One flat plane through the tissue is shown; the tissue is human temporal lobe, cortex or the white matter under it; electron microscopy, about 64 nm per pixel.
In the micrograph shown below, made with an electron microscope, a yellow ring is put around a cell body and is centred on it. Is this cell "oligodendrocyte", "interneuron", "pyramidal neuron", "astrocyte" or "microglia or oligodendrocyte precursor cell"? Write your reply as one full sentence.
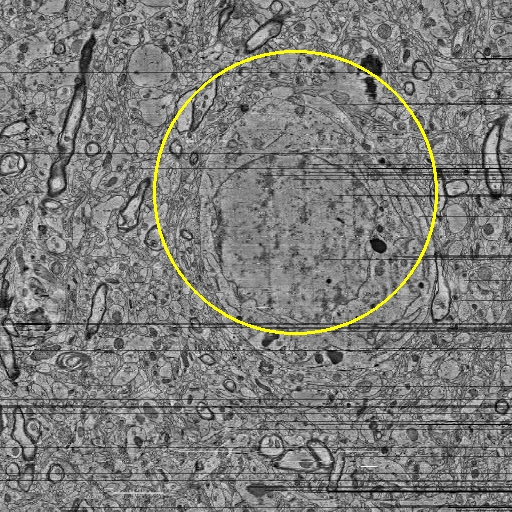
In the micrograph, a pyramidal neuron is the cell at the centre of the yellow ring.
